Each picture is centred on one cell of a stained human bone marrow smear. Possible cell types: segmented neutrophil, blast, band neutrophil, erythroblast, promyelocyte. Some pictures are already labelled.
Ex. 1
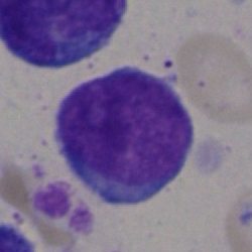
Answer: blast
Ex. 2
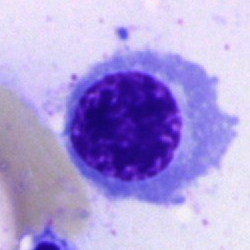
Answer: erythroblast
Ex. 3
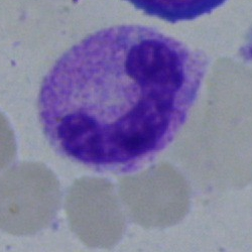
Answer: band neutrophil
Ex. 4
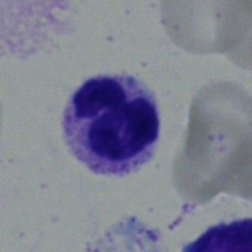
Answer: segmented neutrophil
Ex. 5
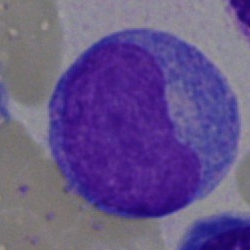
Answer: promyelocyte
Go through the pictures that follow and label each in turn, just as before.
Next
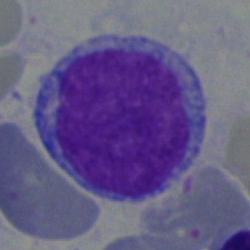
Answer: blast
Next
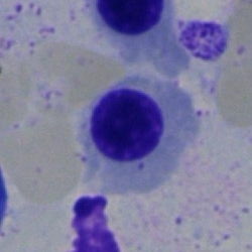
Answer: erythroblast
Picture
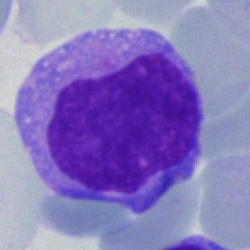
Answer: blast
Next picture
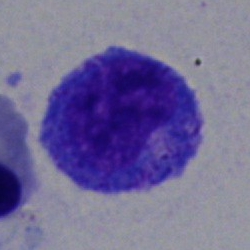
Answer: promyelocyte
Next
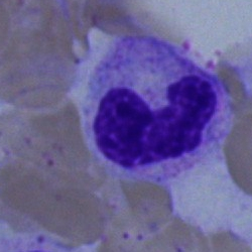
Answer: band neutrophil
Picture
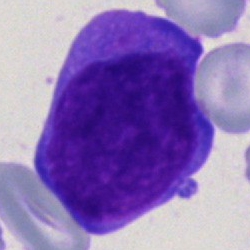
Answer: blast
